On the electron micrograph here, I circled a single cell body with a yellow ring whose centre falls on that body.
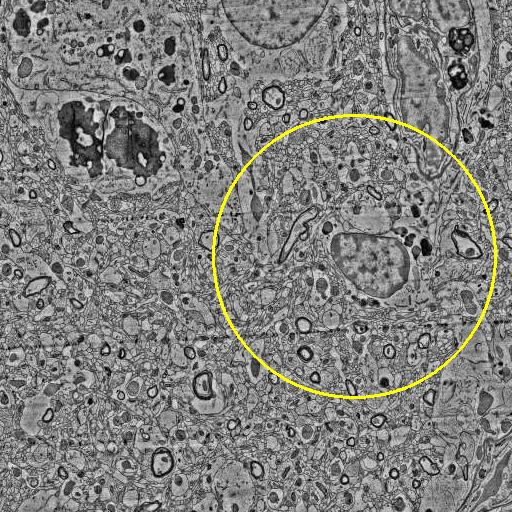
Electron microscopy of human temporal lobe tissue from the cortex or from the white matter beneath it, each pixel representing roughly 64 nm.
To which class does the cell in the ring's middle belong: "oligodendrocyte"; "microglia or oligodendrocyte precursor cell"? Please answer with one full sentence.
In this picture, the cell body circled at the ring's centre belongs to a microglial cell or oligodendrocyte precursor cell.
